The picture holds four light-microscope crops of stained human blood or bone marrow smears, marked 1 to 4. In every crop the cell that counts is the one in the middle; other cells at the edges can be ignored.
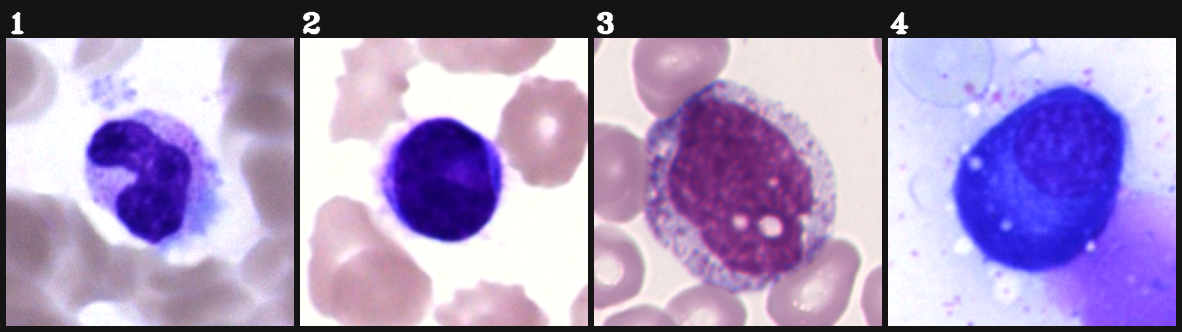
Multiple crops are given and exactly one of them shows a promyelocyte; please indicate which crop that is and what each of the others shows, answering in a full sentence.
Among these crops, crop 3 shows a promyelocyte, while crop 1 is a band neutrophil, crop 2 is a lymphocyte and crop 4 is a plasma cell.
